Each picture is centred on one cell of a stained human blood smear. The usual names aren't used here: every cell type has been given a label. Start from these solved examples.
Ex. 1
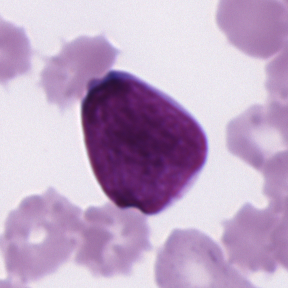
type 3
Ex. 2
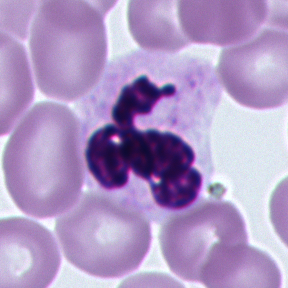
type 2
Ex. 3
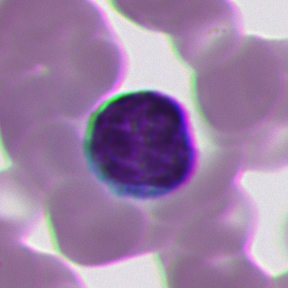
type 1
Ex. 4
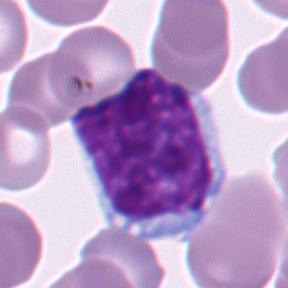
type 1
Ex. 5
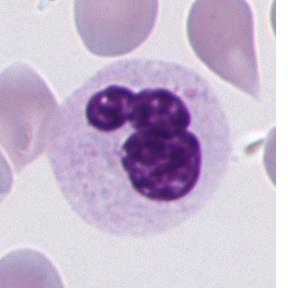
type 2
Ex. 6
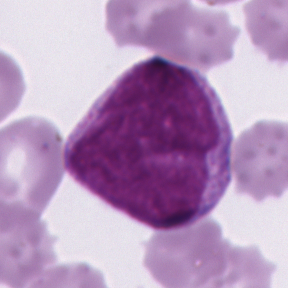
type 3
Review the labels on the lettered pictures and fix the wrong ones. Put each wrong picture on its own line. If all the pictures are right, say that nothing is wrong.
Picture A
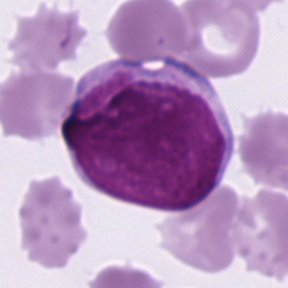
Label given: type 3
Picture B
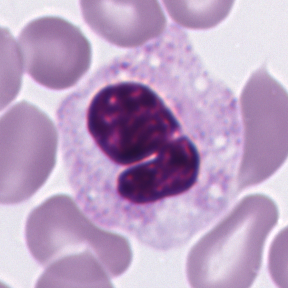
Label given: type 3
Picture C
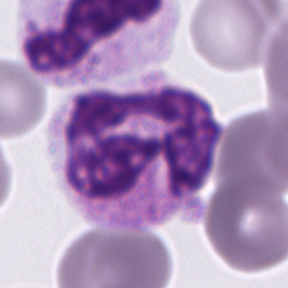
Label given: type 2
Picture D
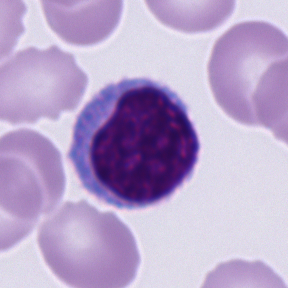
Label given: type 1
B: change type 3 to type 2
